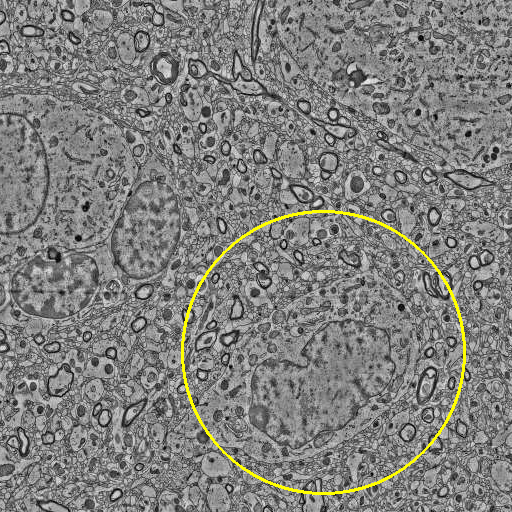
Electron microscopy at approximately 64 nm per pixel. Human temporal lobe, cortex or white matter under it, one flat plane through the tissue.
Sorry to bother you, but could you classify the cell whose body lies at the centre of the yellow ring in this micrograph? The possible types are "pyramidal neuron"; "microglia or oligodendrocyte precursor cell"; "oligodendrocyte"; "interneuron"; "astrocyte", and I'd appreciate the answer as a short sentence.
The ringed cell body is that of an interneuron.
